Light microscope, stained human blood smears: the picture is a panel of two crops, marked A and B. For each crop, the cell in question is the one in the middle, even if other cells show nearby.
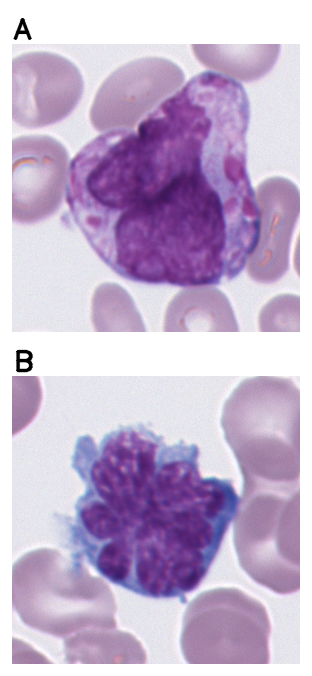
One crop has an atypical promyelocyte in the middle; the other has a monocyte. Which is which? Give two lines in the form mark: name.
A: atypical promyelocyte
B: monocyte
